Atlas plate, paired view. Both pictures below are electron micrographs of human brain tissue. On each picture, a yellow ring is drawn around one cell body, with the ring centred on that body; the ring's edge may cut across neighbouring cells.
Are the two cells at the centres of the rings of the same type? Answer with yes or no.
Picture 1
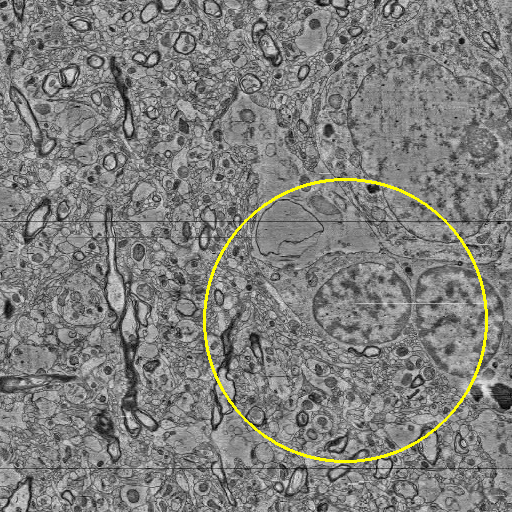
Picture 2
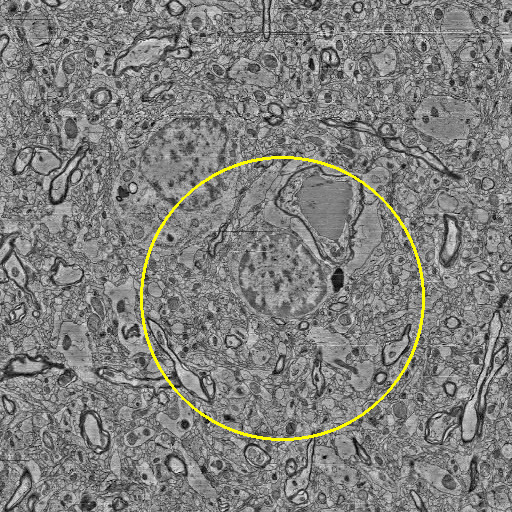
yes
